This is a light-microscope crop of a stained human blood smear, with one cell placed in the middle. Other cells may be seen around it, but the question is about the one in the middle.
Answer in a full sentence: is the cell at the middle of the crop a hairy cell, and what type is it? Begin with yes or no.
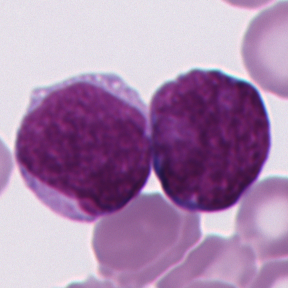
No, wrong label: the middle cell is a myeloblast instead of a hairy cell.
